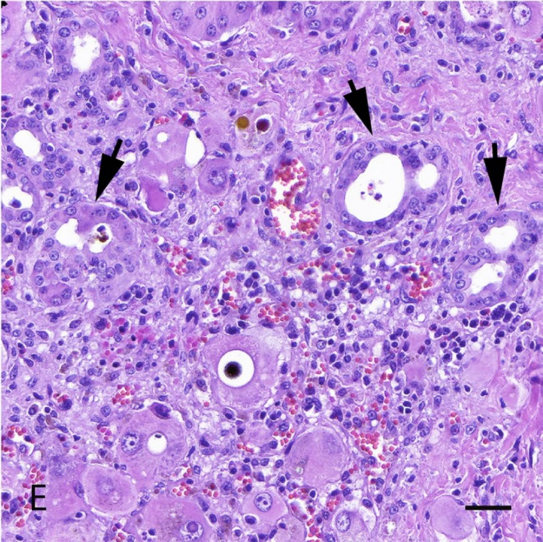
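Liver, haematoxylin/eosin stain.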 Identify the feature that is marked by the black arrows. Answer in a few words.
Newly formed bile ducts.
